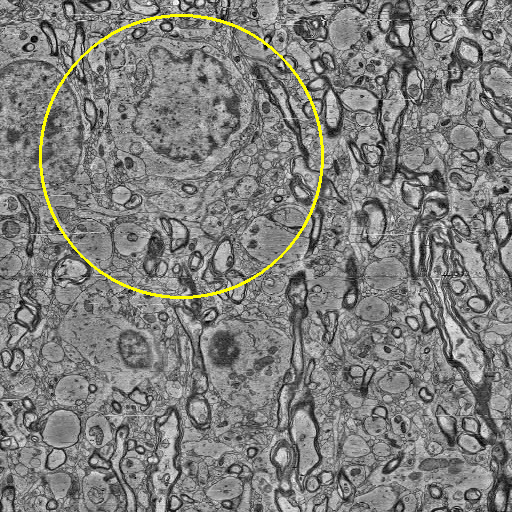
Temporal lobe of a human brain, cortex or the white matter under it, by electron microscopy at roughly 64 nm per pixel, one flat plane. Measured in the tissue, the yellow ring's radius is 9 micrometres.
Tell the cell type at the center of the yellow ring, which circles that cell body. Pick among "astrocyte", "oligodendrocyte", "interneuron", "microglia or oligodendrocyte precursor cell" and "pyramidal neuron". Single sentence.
The ring is centered on the body of an interneuron.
